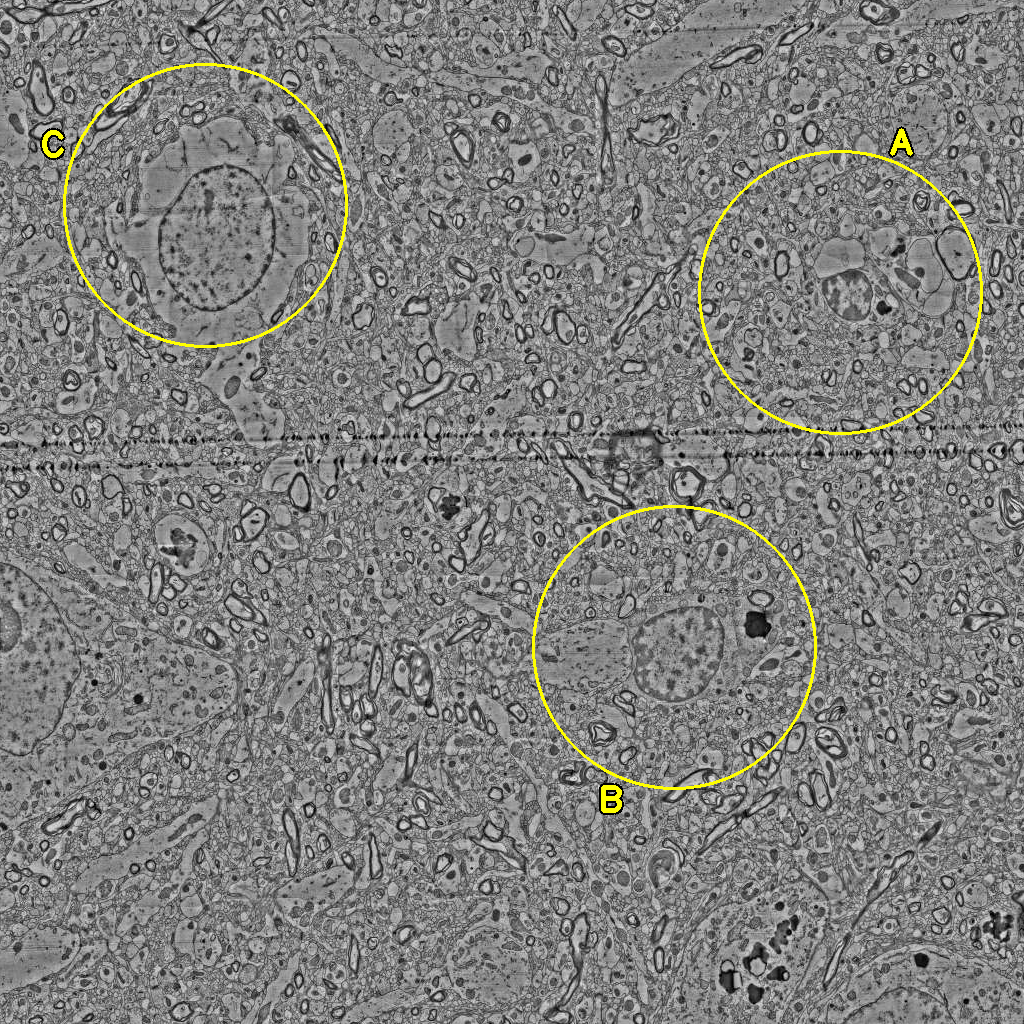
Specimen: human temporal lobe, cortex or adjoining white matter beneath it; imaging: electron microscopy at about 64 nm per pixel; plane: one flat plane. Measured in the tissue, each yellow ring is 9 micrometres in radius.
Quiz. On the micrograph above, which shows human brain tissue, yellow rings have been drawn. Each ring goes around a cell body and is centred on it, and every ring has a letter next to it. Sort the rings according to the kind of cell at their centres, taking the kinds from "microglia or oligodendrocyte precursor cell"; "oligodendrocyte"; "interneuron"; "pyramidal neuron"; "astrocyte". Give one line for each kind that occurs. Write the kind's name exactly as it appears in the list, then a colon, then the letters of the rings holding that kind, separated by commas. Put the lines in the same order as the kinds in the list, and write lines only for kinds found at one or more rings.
microglia or oligodendrocyte precursor cell: A
oligodendrocyte: B
astrocyte: C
